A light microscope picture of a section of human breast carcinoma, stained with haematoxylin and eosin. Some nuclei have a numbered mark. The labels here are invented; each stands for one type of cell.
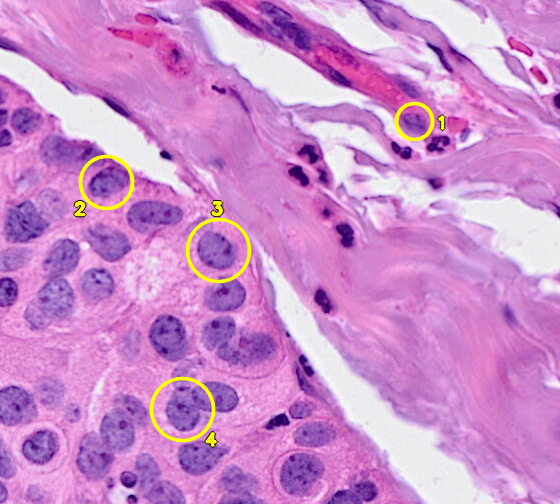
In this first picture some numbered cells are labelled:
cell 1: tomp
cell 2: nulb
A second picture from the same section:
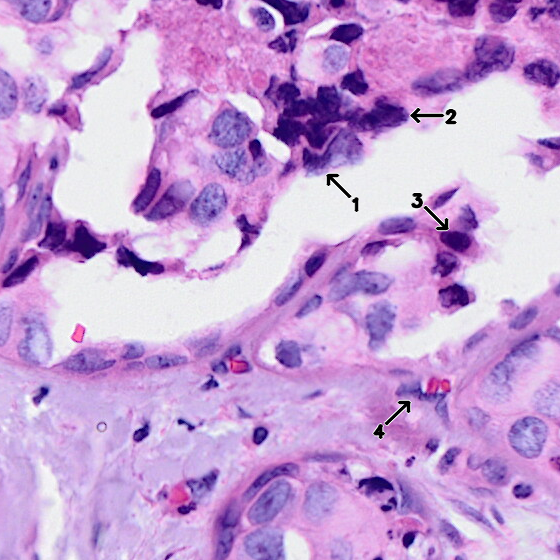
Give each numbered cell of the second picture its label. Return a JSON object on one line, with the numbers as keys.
{"1": "nulb", "2": "nulb", "3": "nulb", "4": "tomp"}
